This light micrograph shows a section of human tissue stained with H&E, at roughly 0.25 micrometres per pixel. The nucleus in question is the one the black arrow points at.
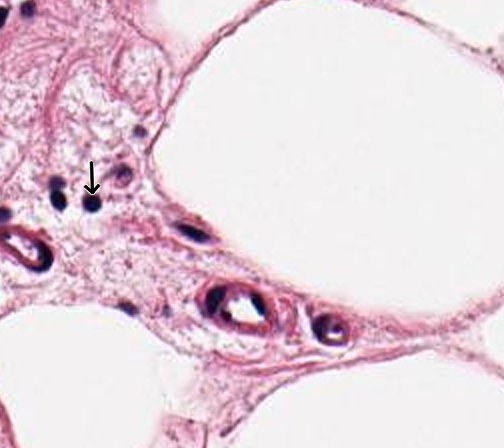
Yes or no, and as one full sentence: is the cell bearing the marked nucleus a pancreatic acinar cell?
No, a pancreatic acinar cell is not the cell of the marked nucleus; a supporting cell is.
